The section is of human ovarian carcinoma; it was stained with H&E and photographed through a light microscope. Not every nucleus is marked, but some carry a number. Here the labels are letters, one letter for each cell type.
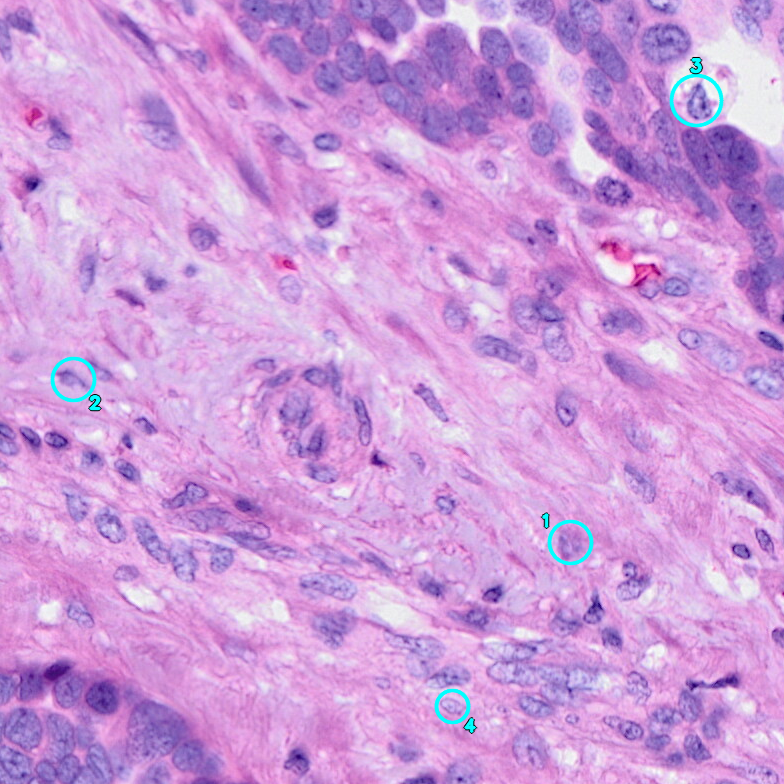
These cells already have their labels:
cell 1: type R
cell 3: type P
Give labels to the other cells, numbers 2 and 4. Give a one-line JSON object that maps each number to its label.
{"2": "type R", "4": "type R"}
